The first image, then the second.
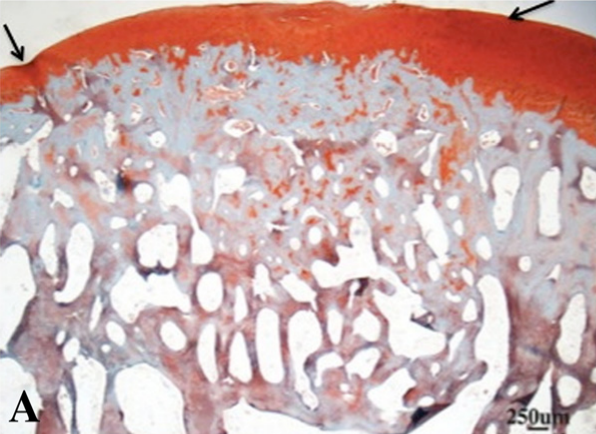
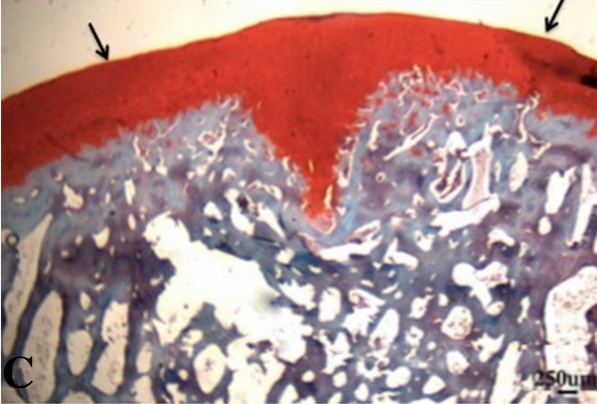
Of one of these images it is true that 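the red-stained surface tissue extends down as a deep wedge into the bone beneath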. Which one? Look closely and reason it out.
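First image: the red-stained surface layer has a fairly even lower border above the bone. Second image: the red-stained layer dips down as a narrow V-shaped wedge deep into the trabecular bone.
The second image.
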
